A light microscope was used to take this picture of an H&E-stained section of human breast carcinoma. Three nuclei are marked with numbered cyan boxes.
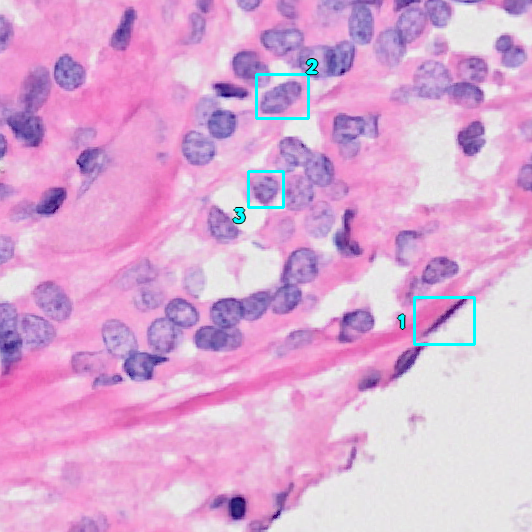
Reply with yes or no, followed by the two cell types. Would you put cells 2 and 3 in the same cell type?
Yes, cells 2 and 3 are both identified as carcinoma cells.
